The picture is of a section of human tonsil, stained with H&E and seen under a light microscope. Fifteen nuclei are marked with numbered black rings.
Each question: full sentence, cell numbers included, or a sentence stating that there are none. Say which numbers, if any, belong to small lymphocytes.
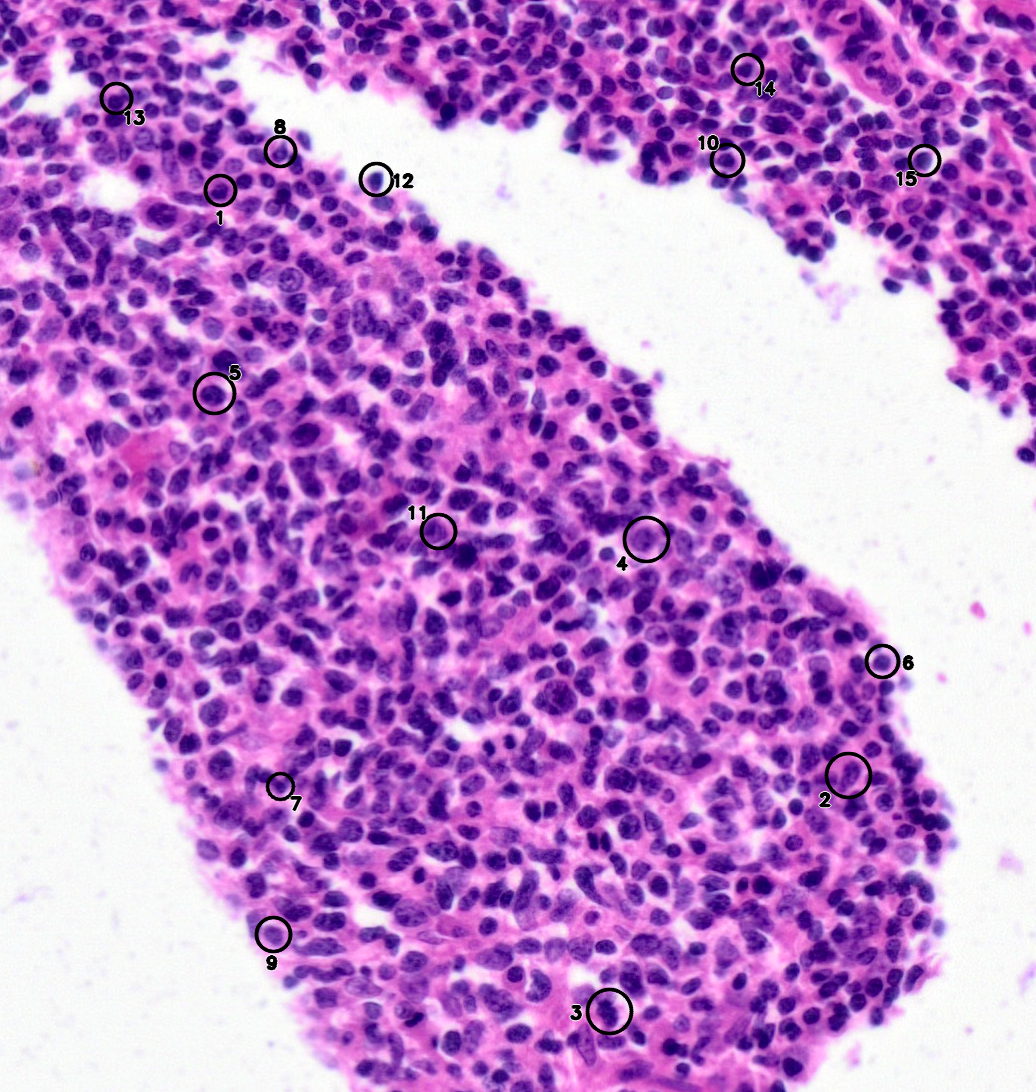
In this section, the cells labelled 6, 8, 10, 12, 13, 14 and 15 are small lymphocytes.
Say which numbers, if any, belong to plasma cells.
Cell number 1 alone is a plasma cell; the rest are not.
